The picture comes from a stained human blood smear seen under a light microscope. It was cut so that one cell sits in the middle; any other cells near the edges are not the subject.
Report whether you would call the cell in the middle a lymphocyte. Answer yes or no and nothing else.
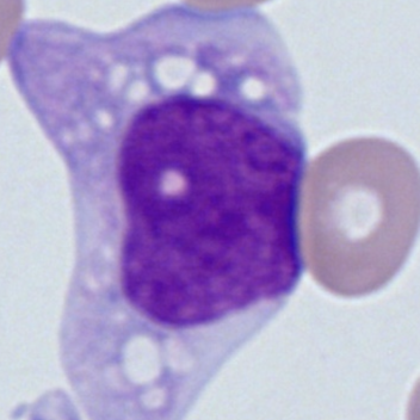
no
